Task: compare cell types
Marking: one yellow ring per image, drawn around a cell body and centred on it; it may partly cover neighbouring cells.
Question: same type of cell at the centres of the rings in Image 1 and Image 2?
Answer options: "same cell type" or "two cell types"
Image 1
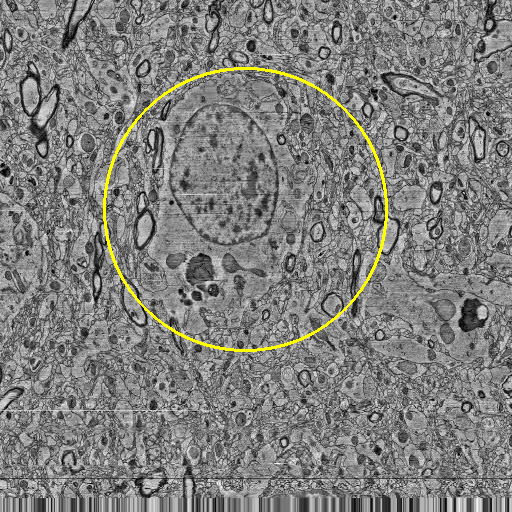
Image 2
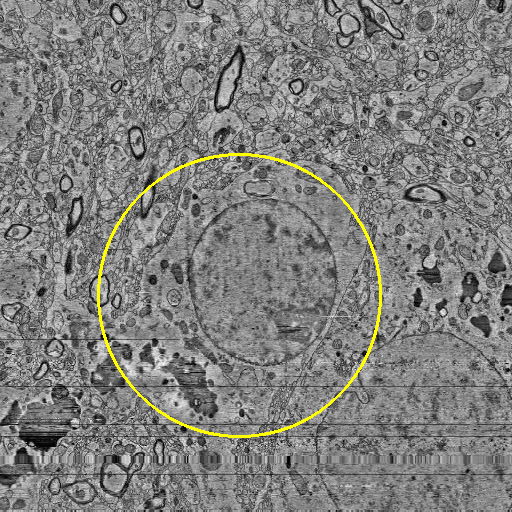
same cell type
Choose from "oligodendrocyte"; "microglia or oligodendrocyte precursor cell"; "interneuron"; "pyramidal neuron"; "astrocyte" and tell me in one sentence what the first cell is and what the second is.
Each cell at the centre of a ring is an astrocyte.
